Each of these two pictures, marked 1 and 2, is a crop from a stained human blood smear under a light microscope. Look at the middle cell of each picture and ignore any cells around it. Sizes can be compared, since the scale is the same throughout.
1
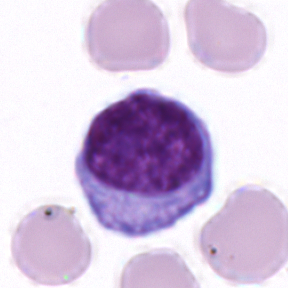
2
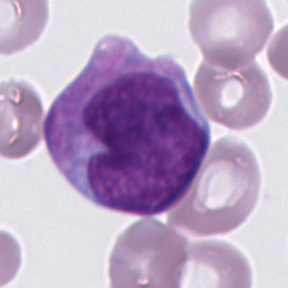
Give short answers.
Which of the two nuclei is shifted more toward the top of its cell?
1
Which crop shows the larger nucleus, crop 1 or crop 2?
2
